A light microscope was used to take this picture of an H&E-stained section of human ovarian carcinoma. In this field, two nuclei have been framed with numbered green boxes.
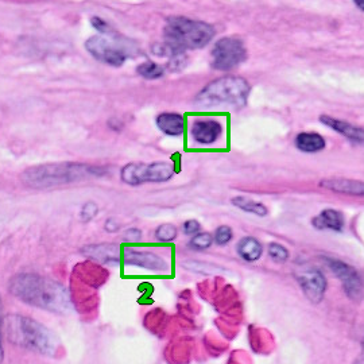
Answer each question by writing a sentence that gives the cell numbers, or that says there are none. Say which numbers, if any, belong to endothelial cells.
Only the cell at mark 2 is an endothelial cell, and no other marked cell is.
